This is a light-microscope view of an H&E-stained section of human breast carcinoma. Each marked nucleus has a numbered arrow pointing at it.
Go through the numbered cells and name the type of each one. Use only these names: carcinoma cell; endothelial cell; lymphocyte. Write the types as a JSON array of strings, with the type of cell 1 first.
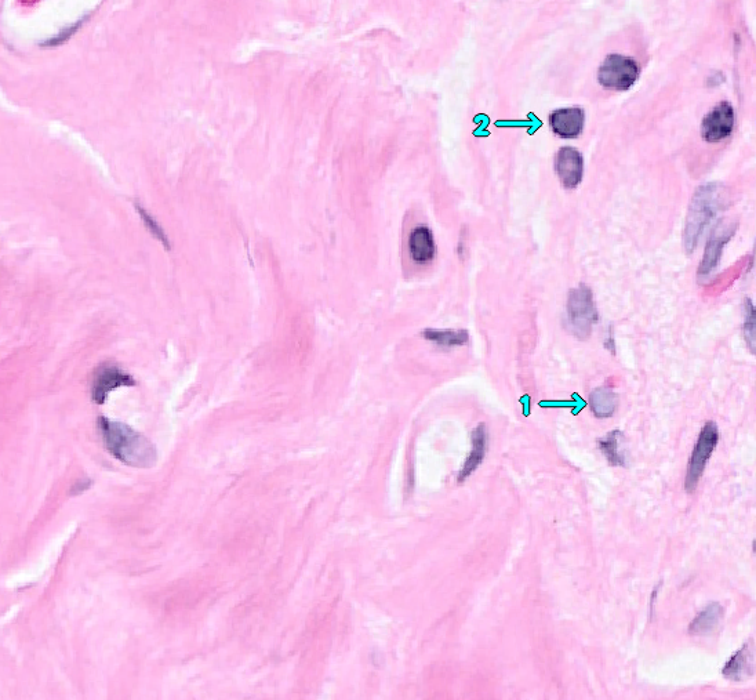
["endothelial cell", "lymphocyte"]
